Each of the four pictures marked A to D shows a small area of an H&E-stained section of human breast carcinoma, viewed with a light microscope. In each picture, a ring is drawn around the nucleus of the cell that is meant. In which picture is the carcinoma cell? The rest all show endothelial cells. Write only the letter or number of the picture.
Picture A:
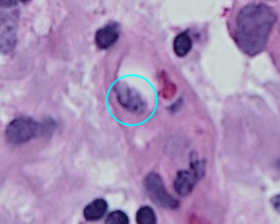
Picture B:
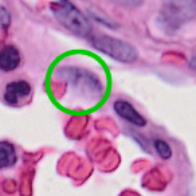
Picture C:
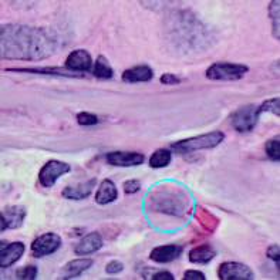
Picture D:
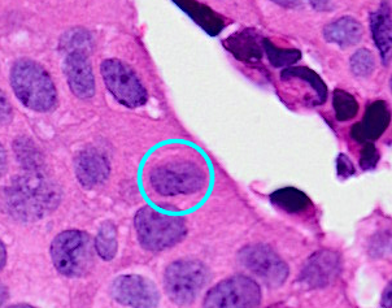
D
